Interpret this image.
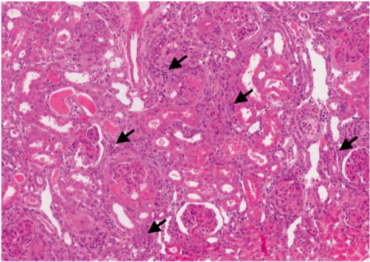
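This kidney cortex shows enlarged, hypercellular glomeruli with inflammatory cell infiltration around them. Dense collections of small, dark-staining nuclei crowd the interstitium, surrounding glomeruli and tubules. The glomerular tufts are packed with nuclei and fill much of their capsules. Several tubules are dilated, and some lumens contain homogeneous deep pink material. The overall architecture looks disordered compared with regularly spaced tubules of normal cortex.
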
